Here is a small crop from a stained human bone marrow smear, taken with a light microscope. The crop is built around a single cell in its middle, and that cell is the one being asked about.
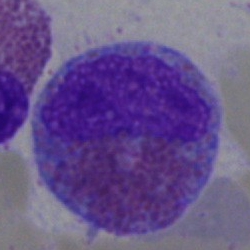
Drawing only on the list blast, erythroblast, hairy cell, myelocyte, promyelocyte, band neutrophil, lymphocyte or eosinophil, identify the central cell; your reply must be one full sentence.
The crop shows an eosinophil in its centre.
